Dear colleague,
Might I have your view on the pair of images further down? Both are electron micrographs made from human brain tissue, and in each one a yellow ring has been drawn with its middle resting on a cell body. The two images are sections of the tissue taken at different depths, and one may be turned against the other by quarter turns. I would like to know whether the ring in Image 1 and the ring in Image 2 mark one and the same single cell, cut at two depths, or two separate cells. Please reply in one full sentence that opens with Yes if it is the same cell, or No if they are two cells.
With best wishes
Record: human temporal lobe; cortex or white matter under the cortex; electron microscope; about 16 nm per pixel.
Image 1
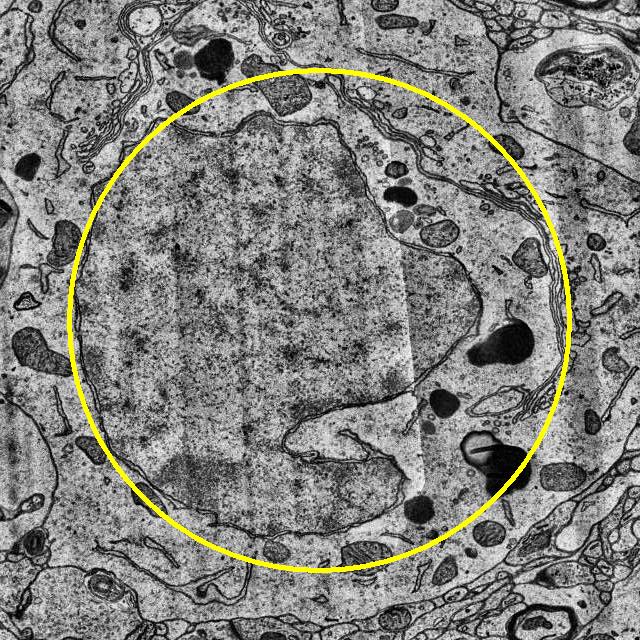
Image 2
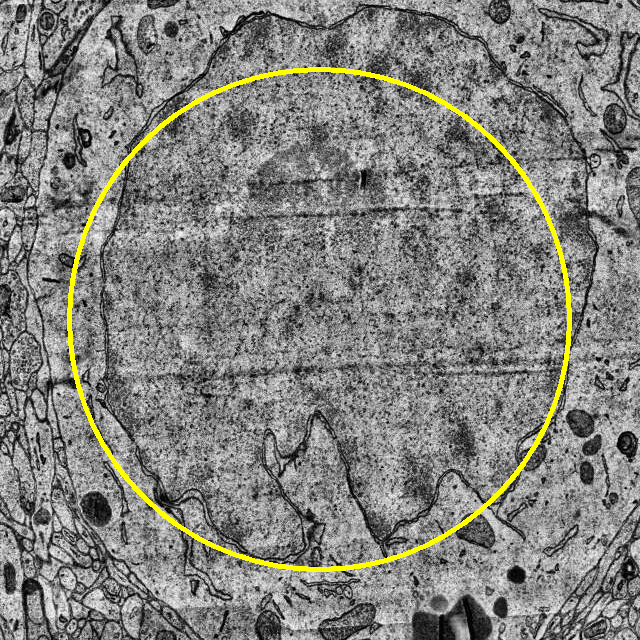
Yes, the two rings encircle a single cell, not a pair.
